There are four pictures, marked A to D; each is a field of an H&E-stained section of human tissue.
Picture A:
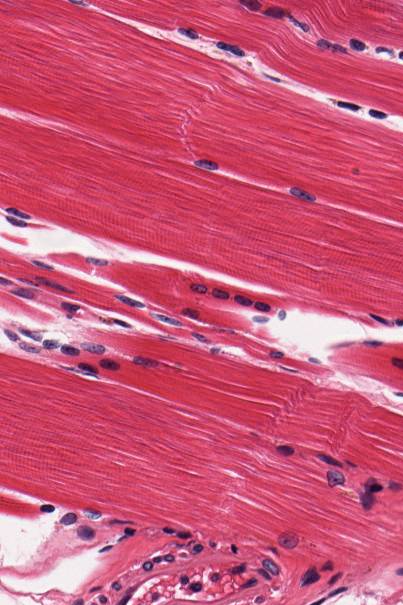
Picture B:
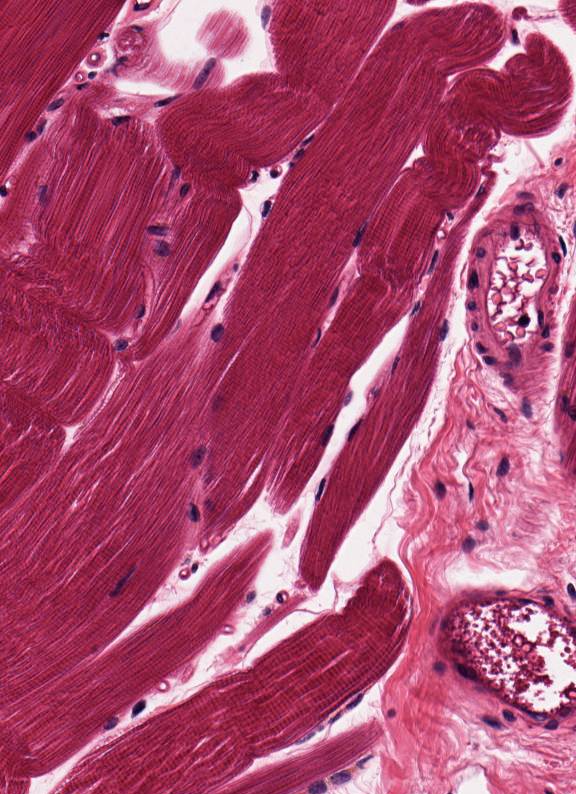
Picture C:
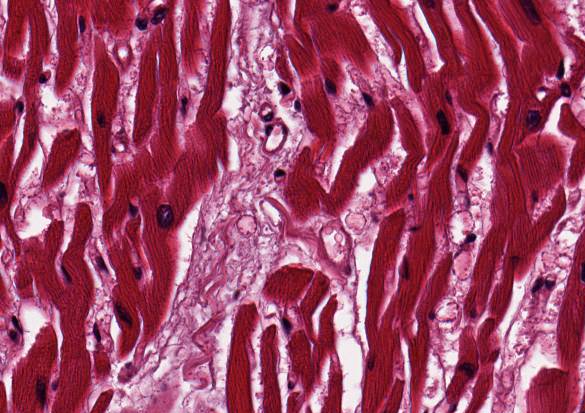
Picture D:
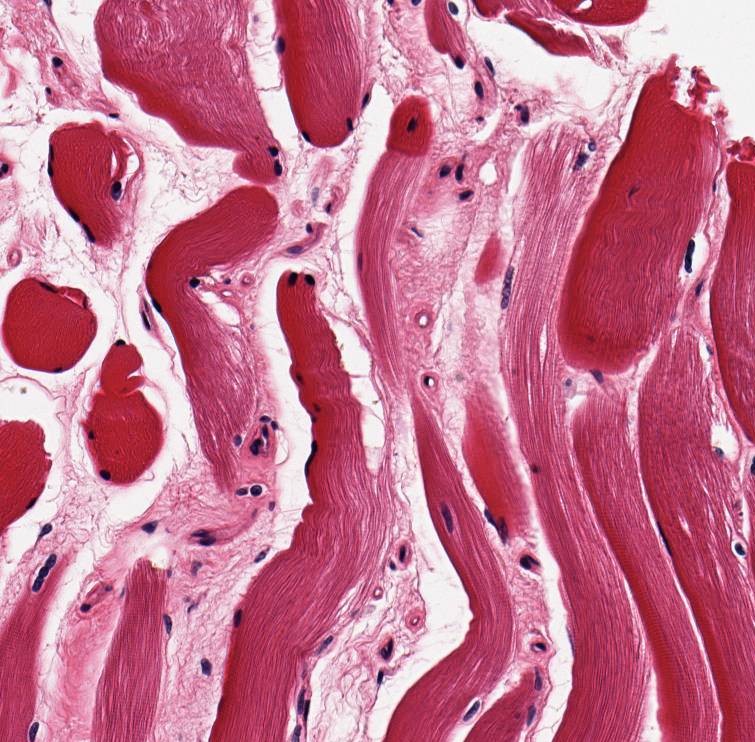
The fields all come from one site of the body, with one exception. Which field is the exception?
C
